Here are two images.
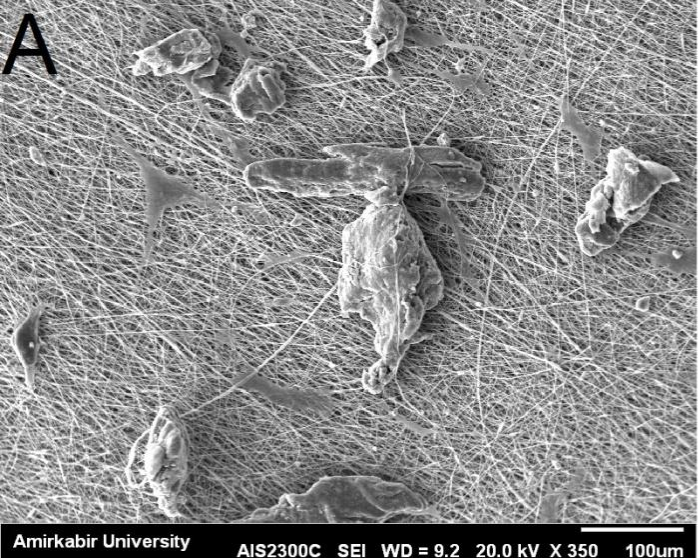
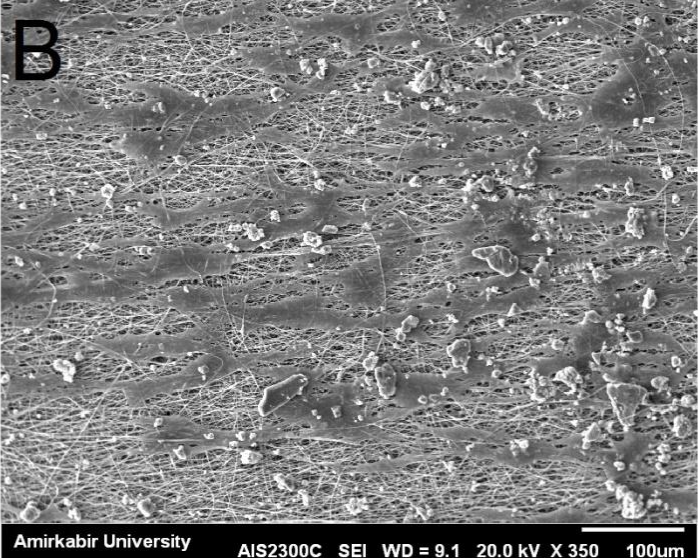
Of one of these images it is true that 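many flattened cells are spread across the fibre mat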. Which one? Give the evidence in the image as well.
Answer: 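Second image: numerous flat, elongated cell bodies cover much of the fibrous surface. First image: only a few small spindle-shaped flat cells lie on the fibres, among large lumpy particles. That points to this answer: the second image.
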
